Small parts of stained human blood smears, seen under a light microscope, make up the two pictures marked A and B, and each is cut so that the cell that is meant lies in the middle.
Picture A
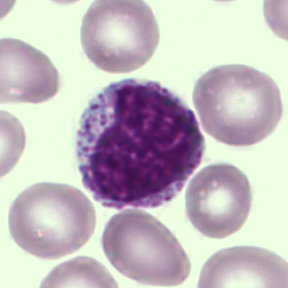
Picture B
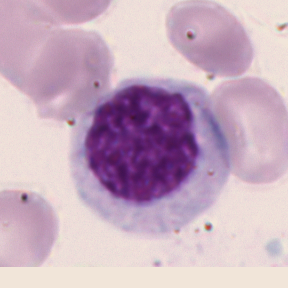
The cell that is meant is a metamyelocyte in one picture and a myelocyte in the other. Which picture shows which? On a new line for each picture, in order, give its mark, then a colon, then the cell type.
A: metamyelocyte
B: myelocyte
